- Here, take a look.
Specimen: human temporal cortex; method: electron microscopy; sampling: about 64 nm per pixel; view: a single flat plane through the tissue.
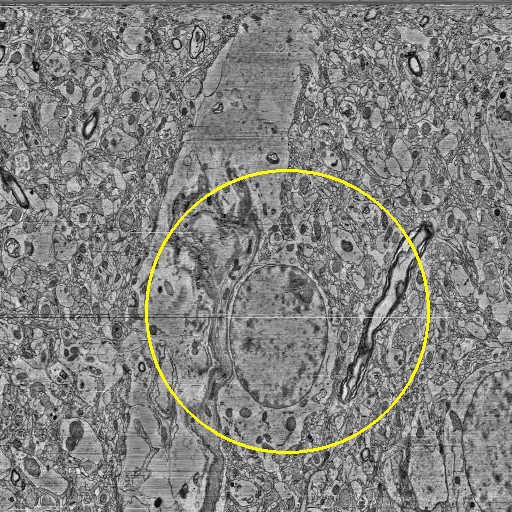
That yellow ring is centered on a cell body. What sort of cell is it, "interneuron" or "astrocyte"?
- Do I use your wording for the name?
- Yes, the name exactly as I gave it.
astrocyte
